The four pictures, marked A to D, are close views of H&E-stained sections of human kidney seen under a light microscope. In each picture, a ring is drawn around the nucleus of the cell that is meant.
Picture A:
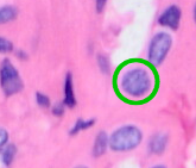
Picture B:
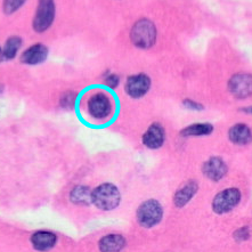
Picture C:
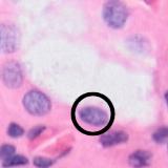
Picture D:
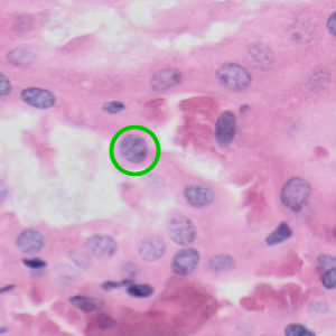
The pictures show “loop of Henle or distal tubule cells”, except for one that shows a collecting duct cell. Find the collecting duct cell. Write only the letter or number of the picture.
A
